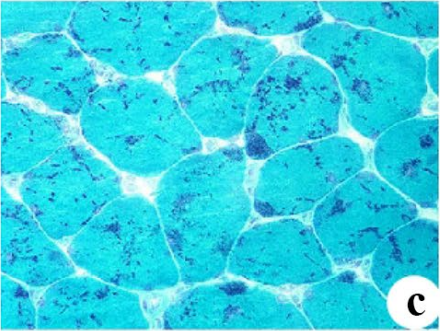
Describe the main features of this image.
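Transverse section of skeletal muscle fibers, polygonal to rounded and of varying size, separated by thin pale endomysium. The fiber cytoplasm stains green-blue and many fibers contain clusters of dark blue-purple rod-shaped and granular deposits, often gathered toward the fiber periphery.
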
